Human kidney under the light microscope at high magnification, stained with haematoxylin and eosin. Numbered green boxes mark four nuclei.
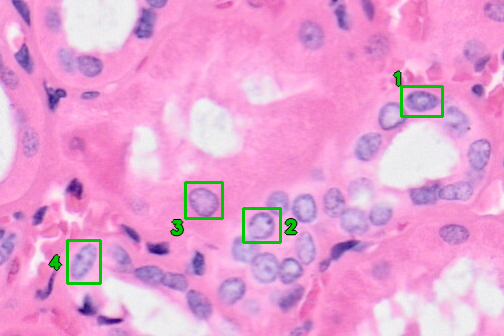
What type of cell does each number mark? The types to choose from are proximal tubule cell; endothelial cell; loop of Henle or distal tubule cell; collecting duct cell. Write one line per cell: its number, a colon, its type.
1: collecting duct cell
2: collecting duct cell
3: proximal tubule cell
4: collecting duct cell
